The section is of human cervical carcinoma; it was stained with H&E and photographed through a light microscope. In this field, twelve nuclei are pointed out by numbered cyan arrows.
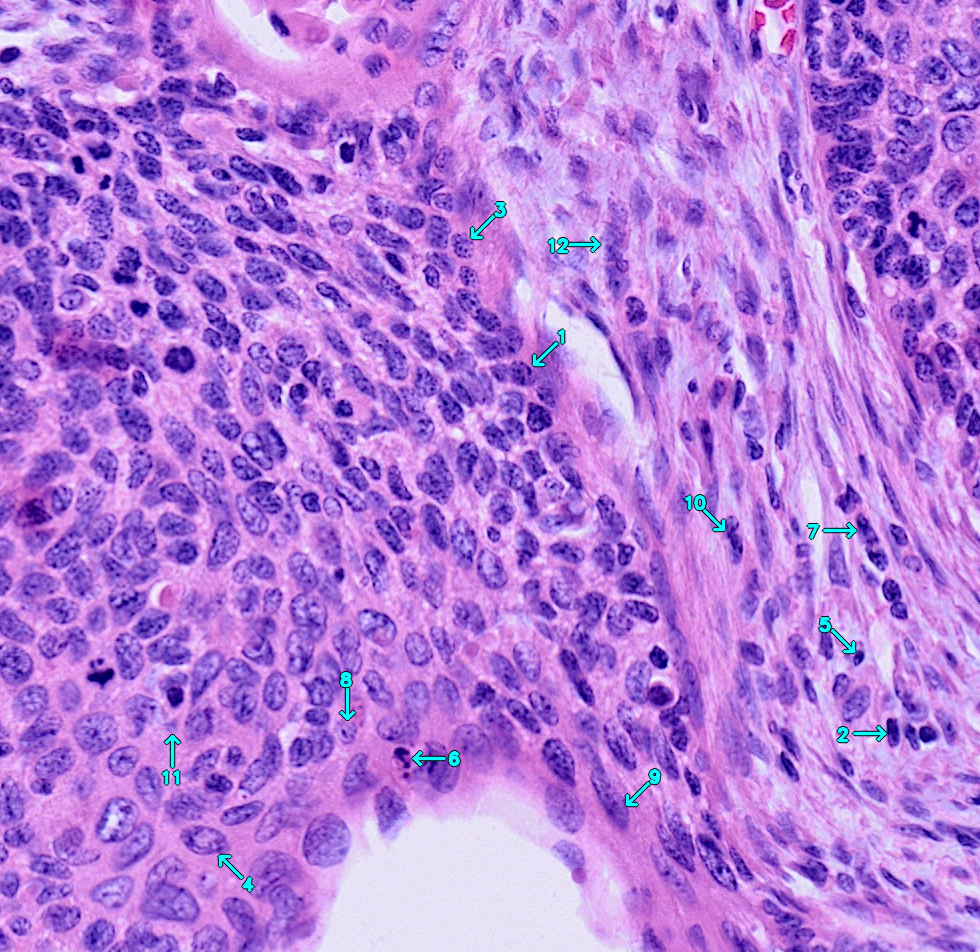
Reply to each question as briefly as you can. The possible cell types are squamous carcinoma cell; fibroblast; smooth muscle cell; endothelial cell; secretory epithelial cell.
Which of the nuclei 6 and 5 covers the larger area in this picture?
6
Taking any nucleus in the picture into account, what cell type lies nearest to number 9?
squamous carcinoma cell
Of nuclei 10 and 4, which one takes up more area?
4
